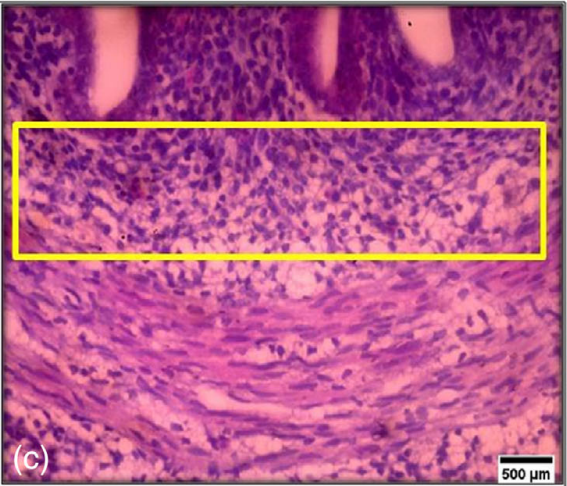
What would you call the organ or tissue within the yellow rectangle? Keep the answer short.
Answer: Lamina propria.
